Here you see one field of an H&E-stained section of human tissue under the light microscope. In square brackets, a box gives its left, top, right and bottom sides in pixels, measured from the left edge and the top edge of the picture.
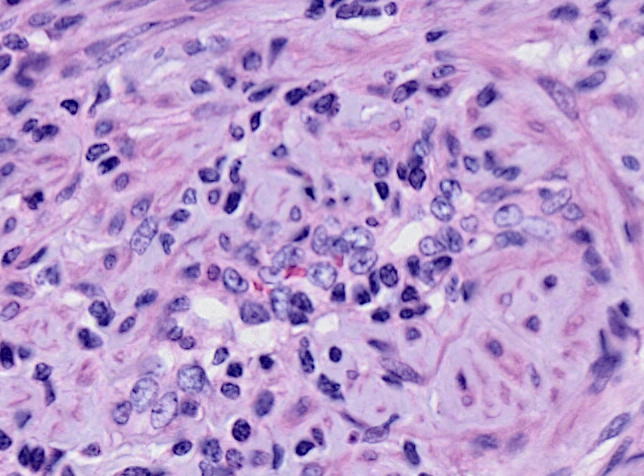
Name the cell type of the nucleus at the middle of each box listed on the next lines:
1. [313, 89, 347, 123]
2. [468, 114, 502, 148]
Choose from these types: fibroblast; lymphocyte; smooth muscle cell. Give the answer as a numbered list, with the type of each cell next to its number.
1. lymphocyte
2. smooth muscle cell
